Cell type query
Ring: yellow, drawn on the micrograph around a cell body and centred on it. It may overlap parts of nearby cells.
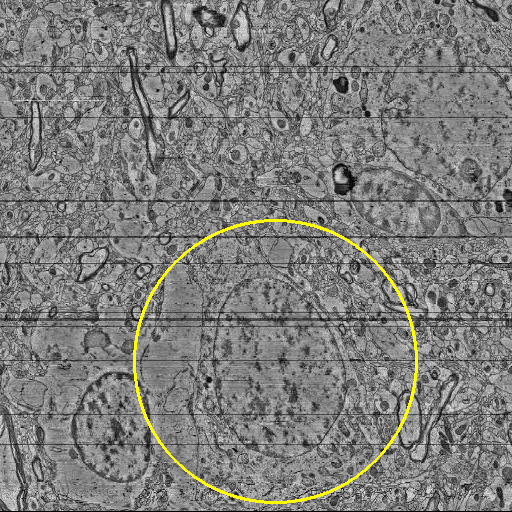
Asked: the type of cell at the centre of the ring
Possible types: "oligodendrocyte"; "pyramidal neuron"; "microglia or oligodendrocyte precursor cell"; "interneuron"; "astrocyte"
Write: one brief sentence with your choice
The ring marks a pyramidal neuron.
